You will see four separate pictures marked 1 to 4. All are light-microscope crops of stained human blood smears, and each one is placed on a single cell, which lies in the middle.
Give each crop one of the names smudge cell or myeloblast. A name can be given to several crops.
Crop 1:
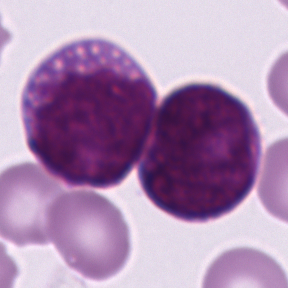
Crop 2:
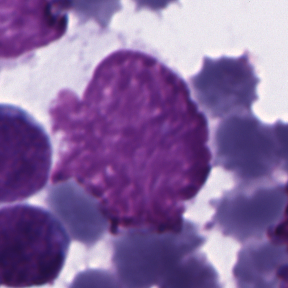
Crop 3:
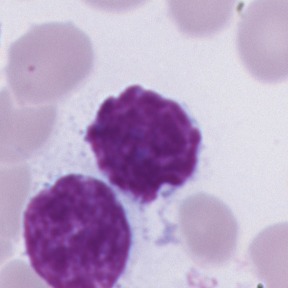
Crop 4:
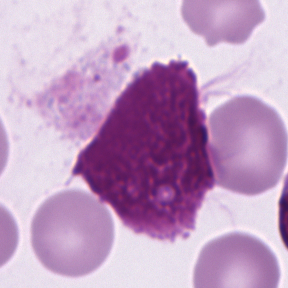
1: myeloblast
2: smudge cell
3: myeloblast
4: smudge cell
